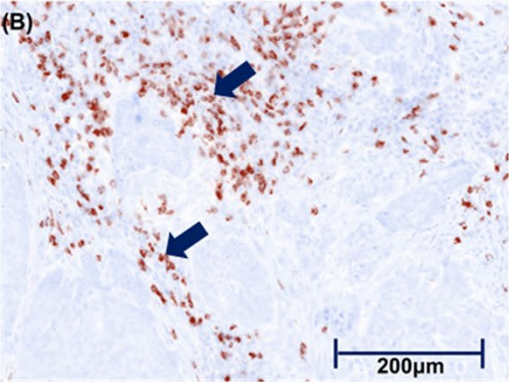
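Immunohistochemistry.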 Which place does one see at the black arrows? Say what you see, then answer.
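Dense bands of small brown-stained nuclei run between pale tumor nests. The tumor nests themselves contain almost no brown cells.
Answer: stromal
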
